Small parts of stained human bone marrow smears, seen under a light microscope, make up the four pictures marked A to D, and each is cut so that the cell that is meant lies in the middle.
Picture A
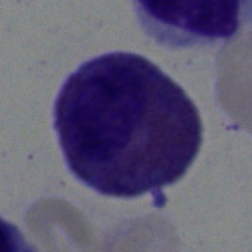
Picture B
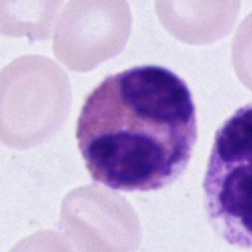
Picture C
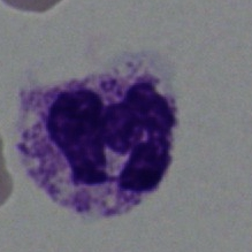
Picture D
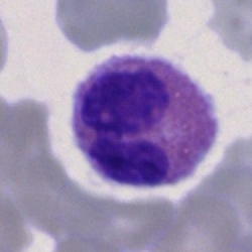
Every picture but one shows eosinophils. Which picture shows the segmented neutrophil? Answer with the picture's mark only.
C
